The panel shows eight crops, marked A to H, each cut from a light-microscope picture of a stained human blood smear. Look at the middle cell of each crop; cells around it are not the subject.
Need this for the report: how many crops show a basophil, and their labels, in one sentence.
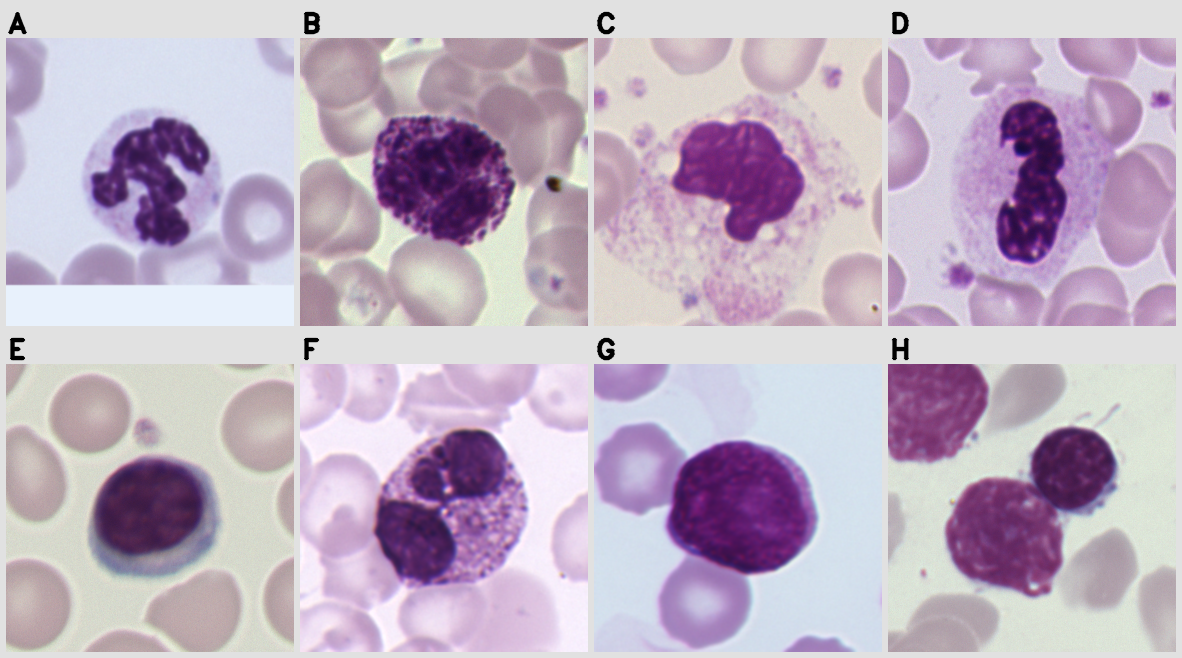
Here, two crops, B and F, show basophils.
